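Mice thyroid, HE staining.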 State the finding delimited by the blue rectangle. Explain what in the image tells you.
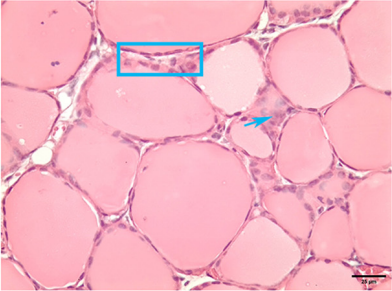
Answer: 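Nuclei in the rectangle crowd and overlap one another. On this evidence: nuclei flat with different shapes or overlapping.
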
